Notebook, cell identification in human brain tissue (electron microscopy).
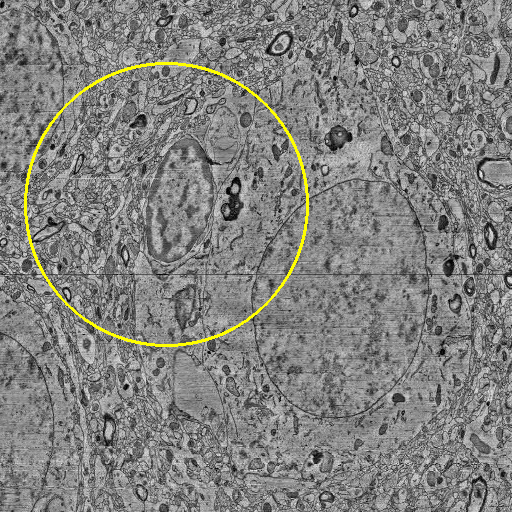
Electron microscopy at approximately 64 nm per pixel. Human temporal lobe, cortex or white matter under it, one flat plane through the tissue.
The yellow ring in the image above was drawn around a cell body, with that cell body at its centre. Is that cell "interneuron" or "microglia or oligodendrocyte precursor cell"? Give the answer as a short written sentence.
The cell in the ring is a microglial cell or oligodendrocyte precursor cell.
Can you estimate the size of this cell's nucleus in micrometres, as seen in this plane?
Roughly 8 by 4 micrometers, clearly longer than it is wide in this plane.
